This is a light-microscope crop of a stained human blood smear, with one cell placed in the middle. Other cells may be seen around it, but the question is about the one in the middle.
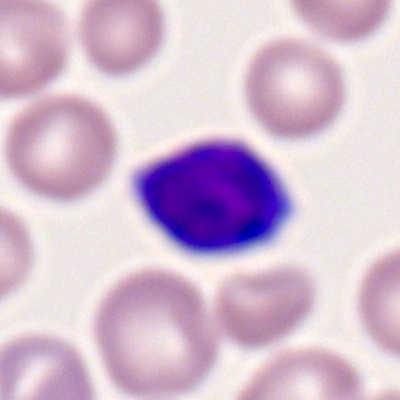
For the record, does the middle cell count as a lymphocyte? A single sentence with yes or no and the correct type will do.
Yes, a lymphocyte is the cell positioned in the middle of the field.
